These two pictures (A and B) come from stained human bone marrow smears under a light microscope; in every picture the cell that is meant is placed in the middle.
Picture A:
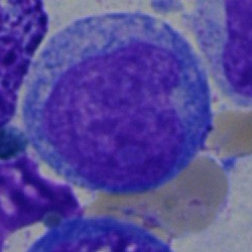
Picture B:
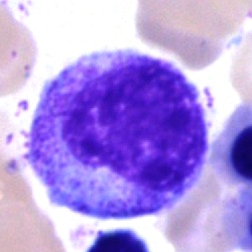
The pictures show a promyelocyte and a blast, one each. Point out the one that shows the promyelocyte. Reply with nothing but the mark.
B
